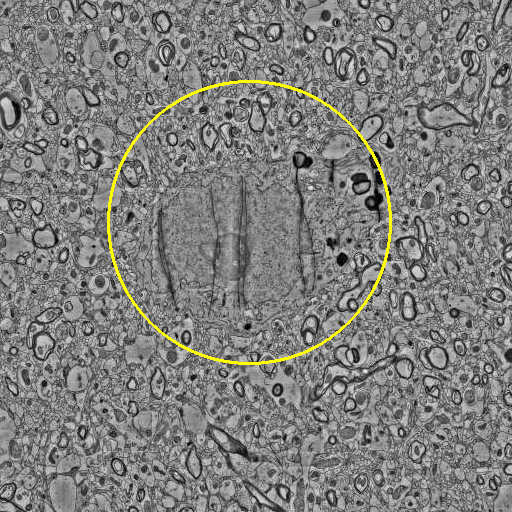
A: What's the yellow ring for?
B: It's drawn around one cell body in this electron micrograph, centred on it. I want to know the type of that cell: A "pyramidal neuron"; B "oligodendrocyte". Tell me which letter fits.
A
